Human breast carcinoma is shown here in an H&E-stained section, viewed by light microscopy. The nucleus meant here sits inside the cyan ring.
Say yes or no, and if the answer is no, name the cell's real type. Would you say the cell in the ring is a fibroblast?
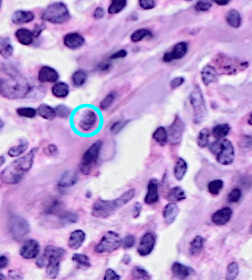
No, it is a lymphocyte.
